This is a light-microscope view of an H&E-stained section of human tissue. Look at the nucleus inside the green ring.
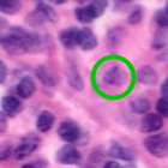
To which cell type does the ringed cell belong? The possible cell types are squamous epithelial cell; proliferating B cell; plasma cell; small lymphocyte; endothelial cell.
endothelial cell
